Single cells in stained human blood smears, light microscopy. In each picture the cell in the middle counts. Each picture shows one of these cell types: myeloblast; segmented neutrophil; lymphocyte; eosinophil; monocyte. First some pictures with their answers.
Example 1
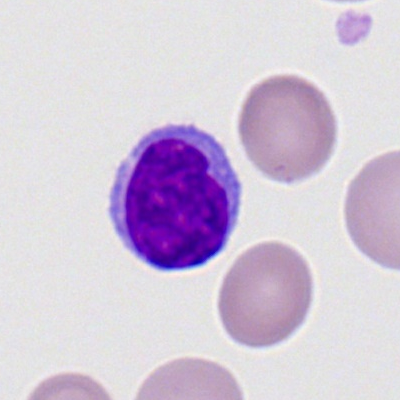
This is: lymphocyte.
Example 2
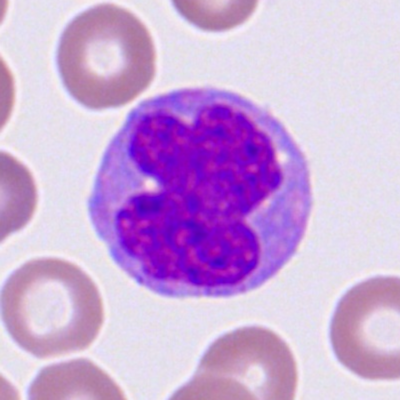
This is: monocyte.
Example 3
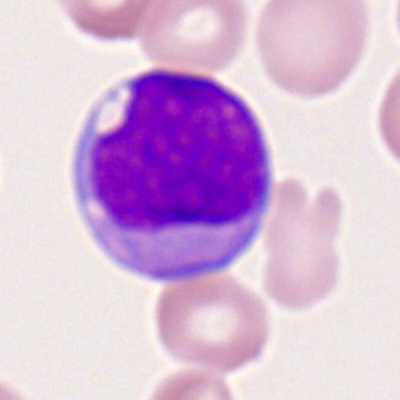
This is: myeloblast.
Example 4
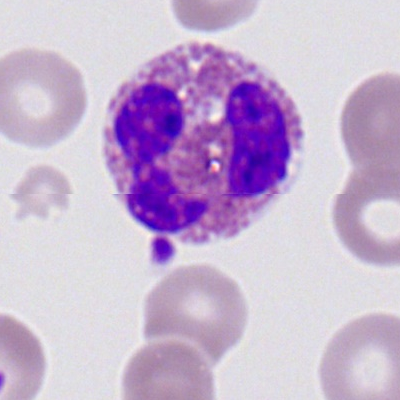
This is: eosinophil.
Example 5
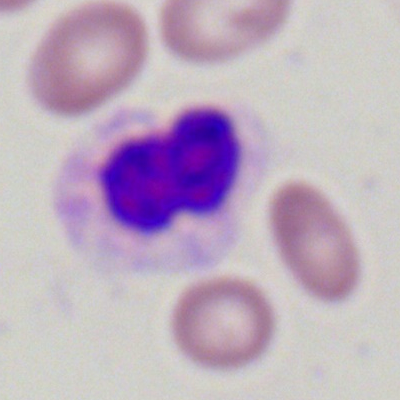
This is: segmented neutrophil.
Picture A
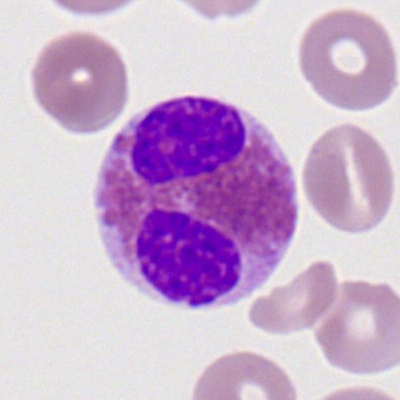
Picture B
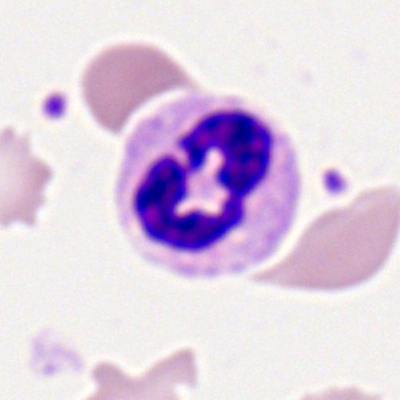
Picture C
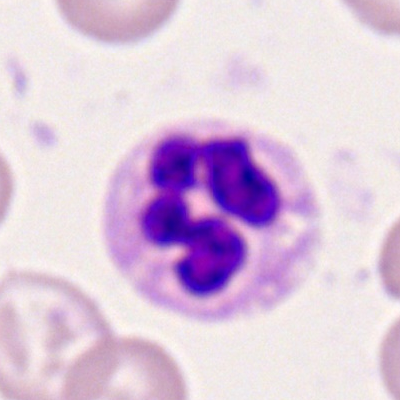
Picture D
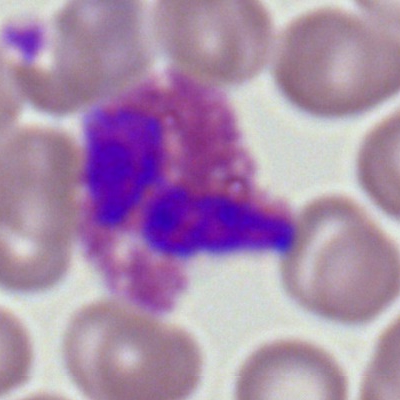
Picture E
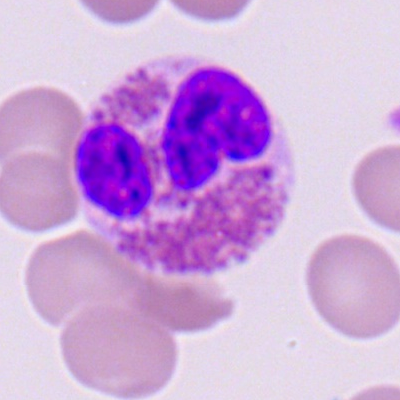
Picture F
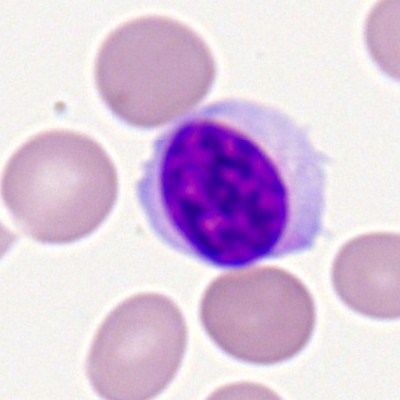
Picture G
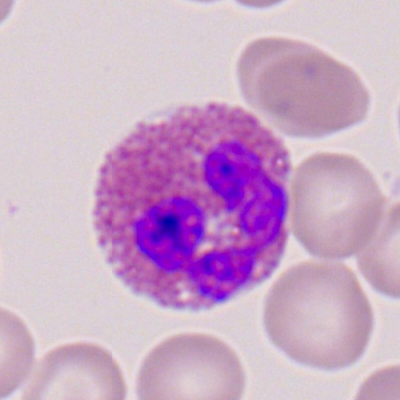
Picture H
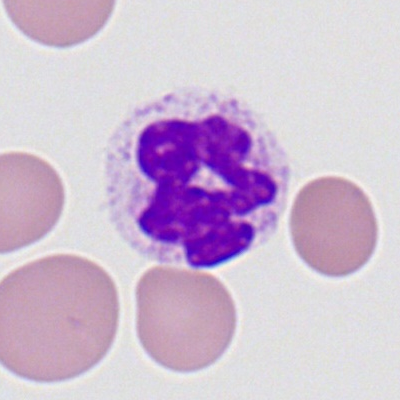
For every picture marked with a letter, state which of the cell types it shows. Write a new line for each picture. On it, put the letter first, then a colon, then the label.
A: eosinophil.
B: segmented neutrophil.
C: segmented neutrophil.
D: eosinophil.
E: eosinophil.
F: lymphocyte.
G: eosinophil.
H: segmented neutrophil.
